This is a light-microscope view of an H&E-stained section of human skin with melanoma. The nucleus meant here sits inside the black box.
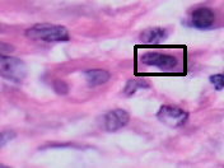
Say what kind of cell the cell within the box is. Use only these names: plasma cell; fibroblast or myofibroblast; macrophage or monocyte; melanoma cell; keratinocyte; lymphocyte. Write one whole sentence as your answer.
It is as a plasma cell that the cell within the box is recorded.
